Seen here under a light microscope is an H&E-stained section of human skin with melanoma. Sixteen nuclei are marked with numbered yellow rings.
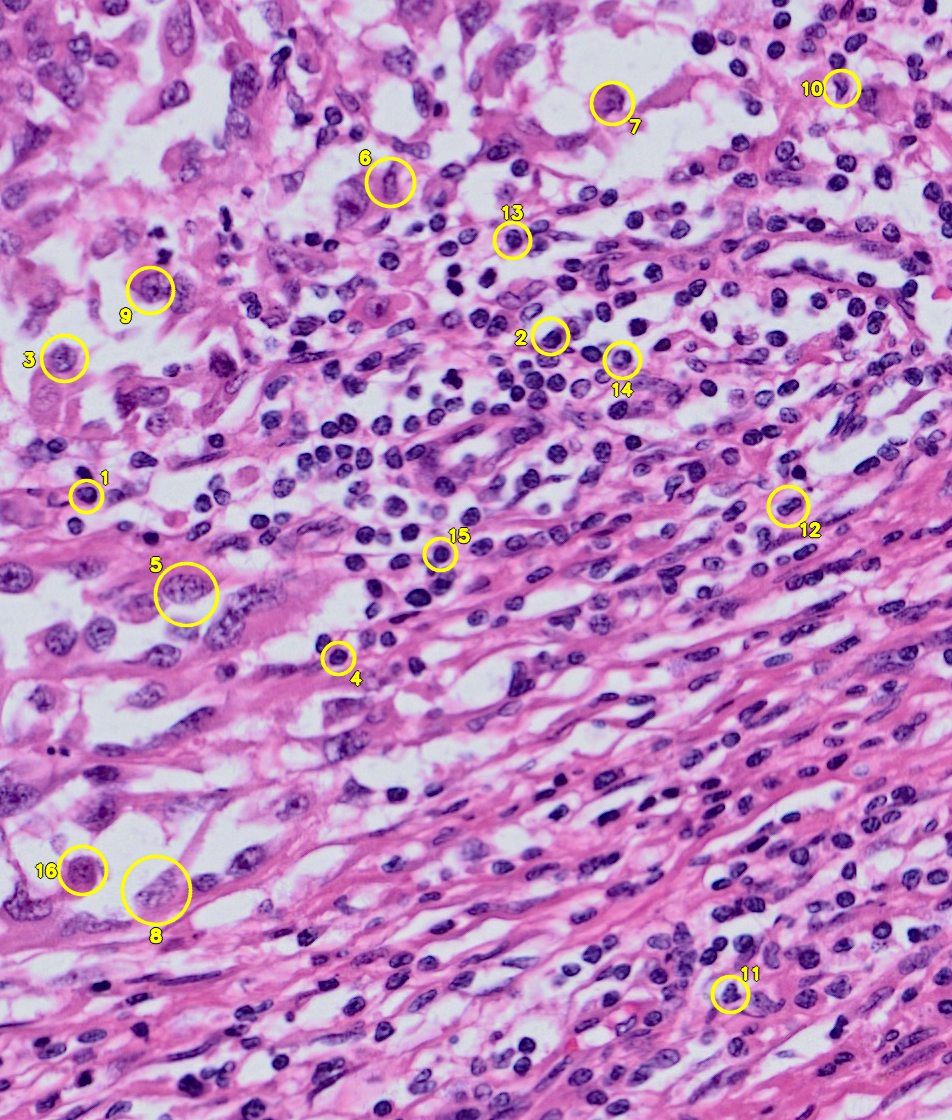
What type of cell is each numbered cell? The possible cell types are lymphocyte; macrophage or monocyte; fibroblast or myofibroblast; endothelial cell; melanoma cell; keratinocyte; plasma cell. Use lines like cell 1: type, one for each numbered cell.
cell 1: lymphocyte
cell 2: lymphocyte
cell 3: melanoma cell
cell 4: lymphocyte
cell 5: melanoma cell
cell 6: melanoma cell
cell 7: melanoma cell
cell 8: melanoma cell
cell 9: melanoma cell
cell 10: lymphocyte
cell 11: lymphocyte
cell 12: lymphocyte
cell 13: lymphocyte
cell 14: lymphocyte
cell 15: lymphocyte
cell 16: melanoma cell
